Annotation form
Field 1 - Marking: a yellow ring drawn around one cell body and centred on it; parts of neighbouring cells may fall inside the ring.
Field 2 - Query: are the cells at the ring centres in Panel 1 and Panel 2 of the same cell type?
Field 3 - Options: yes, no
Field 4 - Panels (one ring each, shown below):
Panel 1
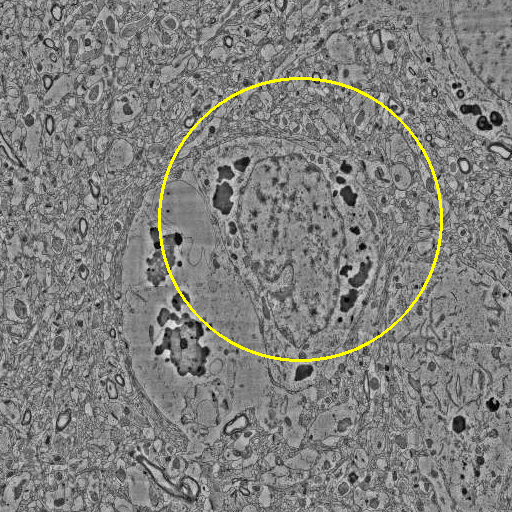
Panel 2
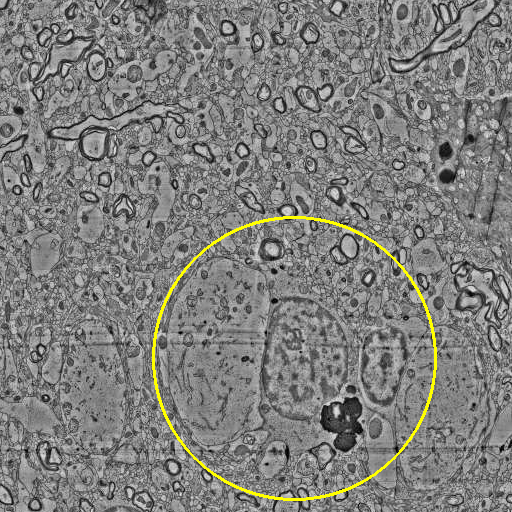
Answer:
no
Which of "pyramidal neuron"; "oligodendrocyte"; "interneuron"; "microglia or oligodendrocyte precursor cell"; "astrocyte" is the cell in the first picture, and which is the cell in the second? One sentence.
The two differ: the first cell is an interneuron and the second is an oligodendrocyte.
